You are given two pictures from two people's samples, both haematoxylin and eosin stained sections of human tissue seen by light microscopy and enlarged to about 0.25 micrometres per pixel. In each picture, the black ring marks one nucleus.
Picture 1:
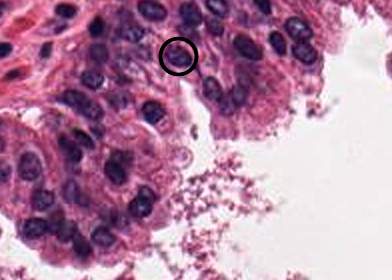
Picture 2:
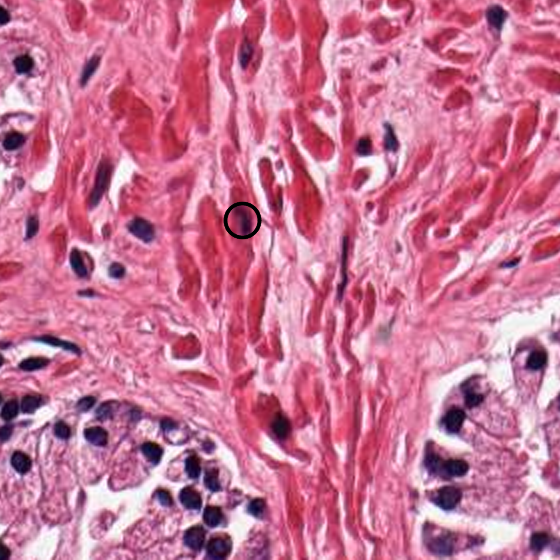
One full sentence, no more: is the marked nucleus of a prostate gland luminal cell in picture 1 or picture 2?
In picture 1, the marked nucleus is one belonging to a prostate gland luminal cell.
